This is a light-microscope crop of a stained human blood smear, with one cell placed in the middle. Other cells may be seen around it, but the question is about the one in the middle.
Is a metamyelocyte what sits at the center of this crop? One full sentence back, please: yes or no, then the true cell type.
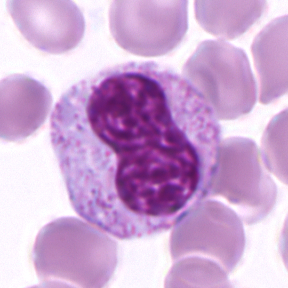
Yes, a metamyelocyte is what the central cell is.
